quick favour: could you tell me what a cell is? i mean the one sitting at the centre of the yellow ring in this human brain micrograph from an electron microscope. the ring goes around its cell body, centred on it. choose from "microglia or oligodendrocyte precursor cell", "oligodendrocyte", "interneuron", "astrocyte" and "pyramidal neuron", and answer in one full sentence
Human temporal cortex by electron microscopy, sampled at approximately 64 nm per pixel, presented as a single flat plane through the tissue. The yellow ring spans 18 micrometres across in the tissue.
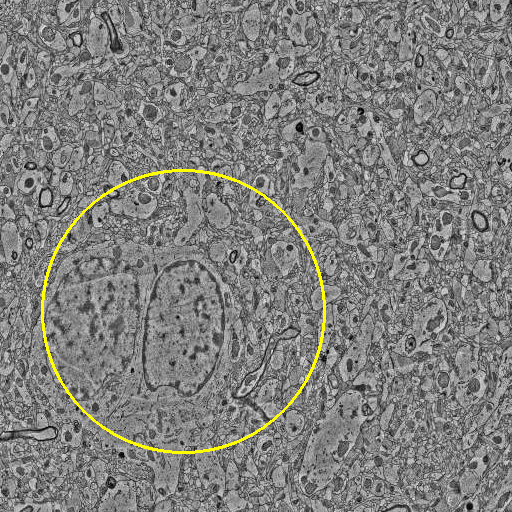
That's a microglial cell or oligodendrocyte precursor cell, the cell sitting at the centre of the yellow ring.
